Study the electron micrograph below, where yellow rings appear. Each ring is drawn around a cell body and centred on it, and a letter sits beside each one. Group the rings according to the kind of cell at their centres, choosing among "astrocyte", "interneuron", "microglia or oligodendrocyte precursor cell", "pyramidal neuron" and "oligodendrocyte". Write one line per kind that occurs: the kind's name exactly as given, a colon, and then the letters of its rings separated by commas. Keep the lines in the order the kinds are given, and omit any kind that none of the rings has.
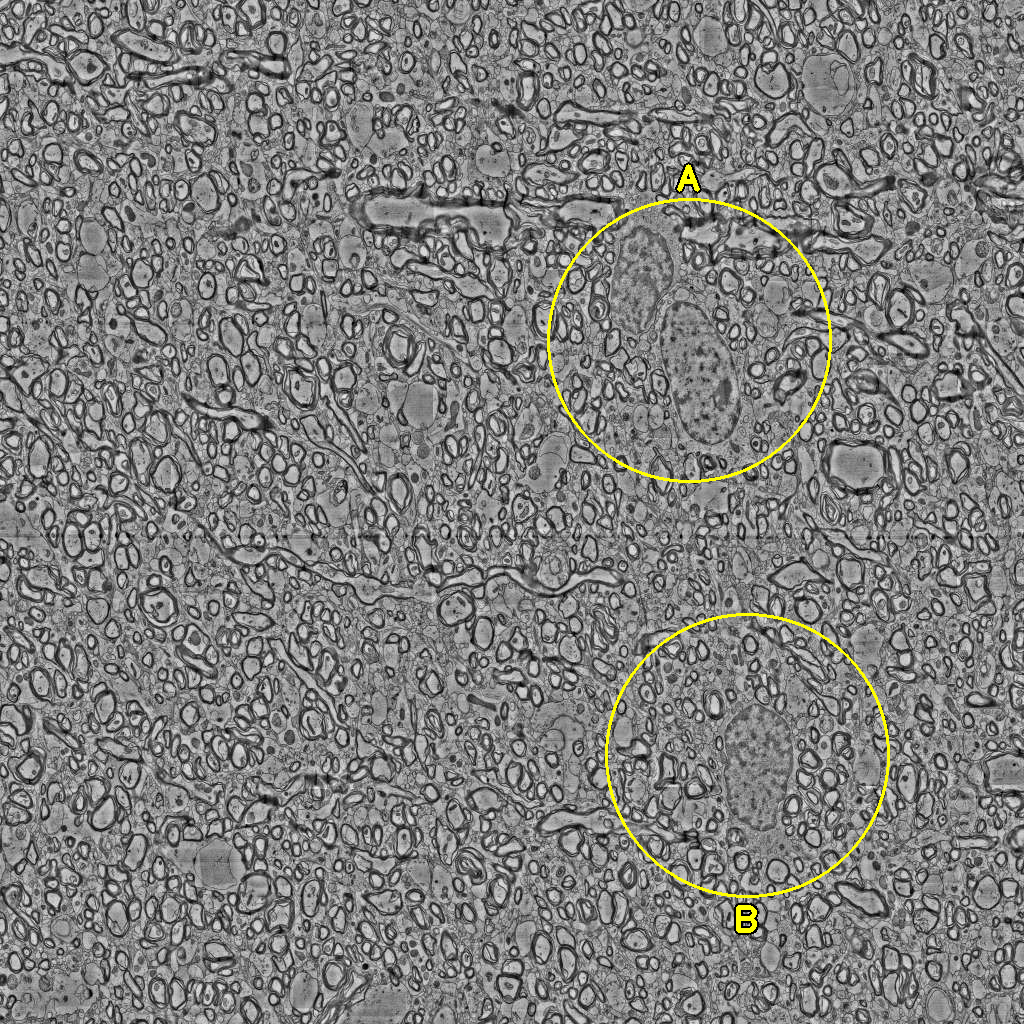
microglia or oligodendrocyte precursor cell: A
oligodendrocyte: B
